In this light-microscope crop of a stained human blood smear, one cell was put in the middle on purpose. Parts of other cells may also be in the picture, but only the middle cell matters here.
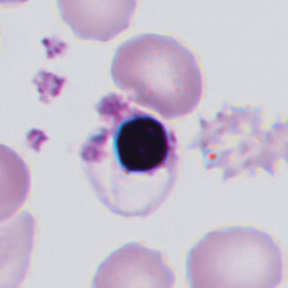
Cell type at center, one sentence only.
The cell in the exact centre of the crop is an erythroblast.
